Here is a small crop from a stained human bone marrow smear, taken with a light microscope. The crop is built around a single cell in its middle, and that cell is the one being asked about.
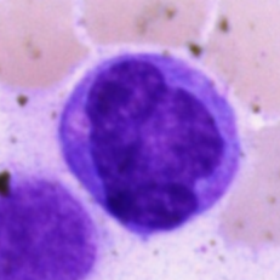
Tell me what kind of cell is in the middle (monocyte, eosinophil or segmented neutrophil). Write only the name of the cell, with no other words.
monocyte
